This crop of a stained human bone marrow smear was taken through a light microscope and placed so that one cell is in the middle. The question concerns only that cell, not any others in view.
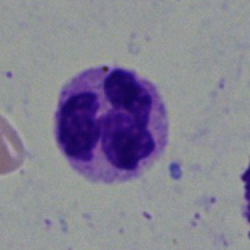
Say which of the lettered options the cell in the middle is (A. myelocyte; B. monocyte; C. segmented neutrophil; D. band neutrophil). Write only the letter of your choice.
C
